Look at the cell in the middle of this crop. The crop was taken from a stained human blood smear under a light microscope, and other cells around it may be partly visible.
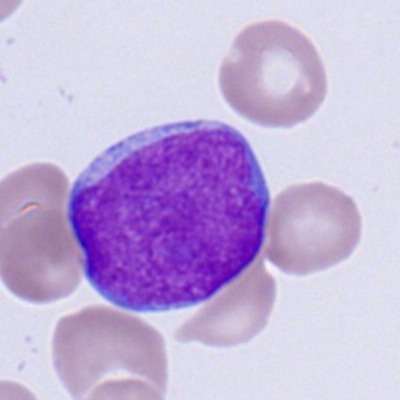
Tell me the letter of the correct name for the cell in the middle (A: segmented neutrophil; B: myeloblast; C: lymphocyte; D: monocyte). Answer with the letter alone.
B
